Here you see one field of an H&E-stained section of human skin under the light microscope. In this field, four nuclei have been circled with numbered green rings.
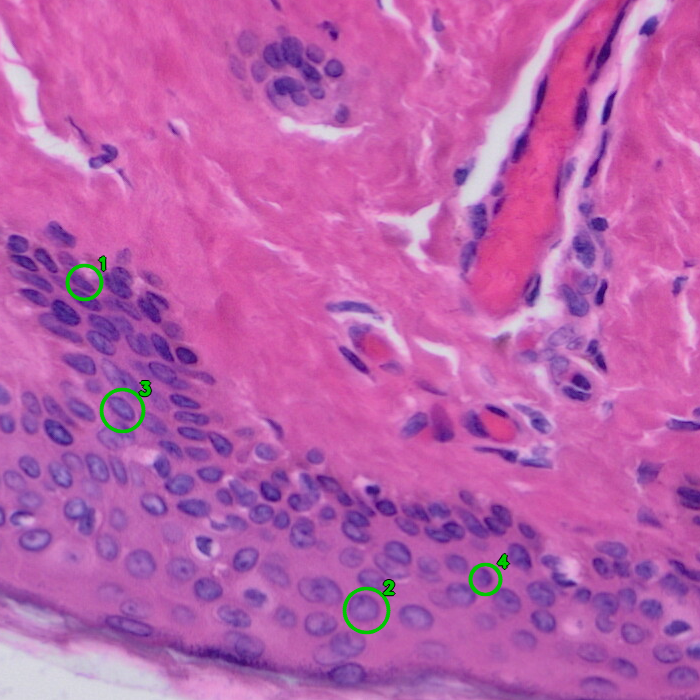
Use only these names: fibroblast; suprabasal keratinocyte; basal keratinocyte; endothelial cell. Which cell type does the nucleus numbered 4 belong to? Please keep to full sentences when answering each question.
As for number 4, that cell is a suprabasal keratinocyte.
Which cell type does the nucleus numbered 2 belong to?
The nucleus marked 2 is the nucleus of a suprabasal keratinocyte.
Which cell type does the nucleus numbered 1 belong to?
The cell tagged with 1 in this tissue section is a basal keratinocyte.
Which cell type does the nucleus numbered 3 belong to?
The cell assigned the number 3 is a suprabasal keratinocyte.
